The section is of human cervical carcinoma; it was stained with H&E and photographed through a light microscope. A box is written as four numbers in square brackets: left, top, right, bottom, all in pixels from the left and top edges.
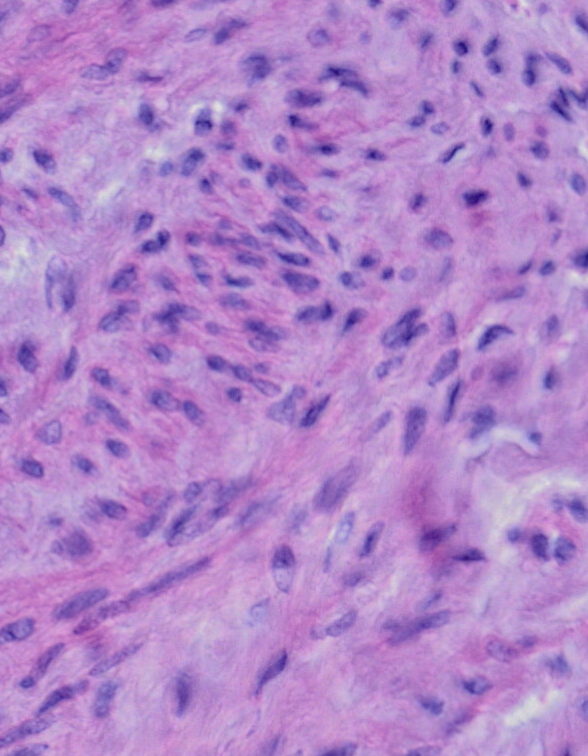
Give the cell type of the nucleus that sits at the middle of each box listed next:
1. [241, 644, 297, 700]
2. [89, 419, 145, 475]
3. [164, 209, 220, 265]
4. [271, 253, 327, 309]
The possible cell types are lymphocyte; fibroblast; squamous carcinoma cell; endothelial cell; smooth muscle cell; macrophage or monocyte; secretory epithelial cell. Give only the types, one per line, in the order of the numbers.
fibroblast
smooth muscle cell
smooth muscle cell
smooth muscle cell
